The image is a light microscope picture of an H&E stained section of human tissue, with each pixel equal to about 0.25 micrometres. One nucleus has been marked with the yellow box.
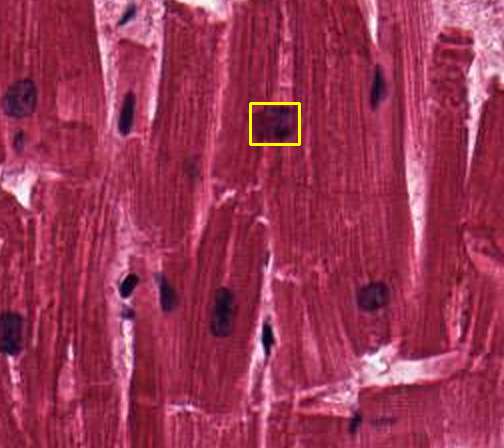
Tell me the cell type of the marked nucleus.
cardiomyocyte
